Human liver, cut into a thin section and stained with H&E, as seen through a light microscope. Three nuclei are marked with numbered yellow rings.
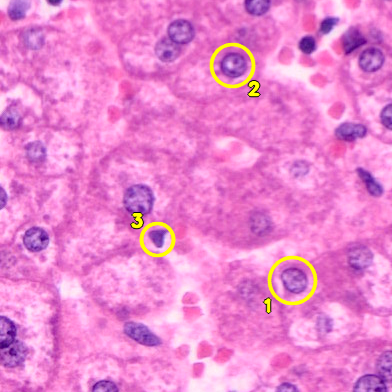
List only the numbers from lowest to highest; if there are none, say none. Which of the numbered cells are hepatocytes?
1, 2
